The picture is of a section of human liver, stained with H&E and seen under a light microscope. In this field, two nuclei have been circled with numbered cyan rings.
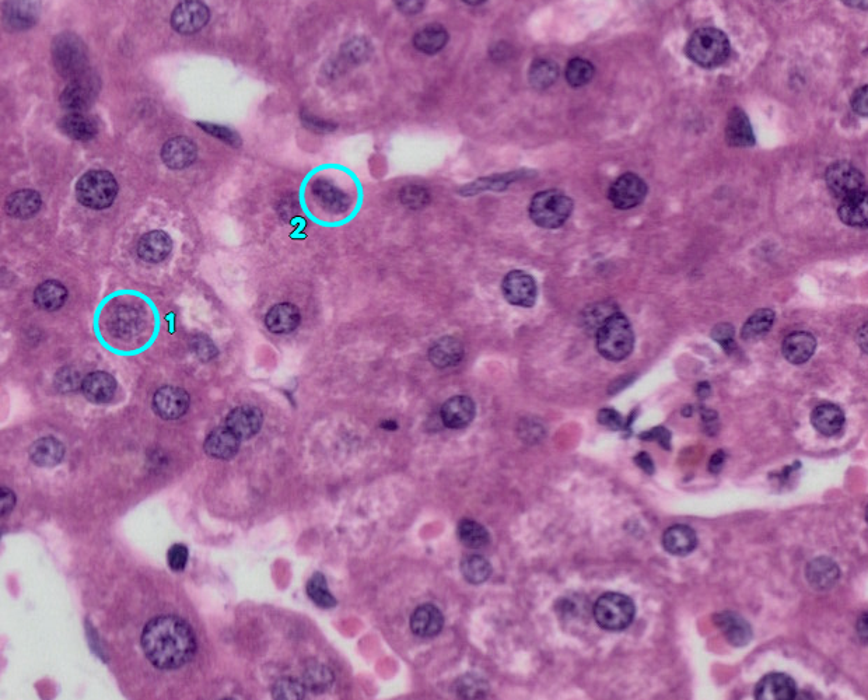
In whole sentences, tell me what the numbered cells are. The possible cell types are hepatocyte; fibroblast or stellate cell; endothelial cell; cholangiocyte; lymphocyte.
Cell 1 is a hepatocyte. Cell 2 is a fibroblast or stellate cell.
